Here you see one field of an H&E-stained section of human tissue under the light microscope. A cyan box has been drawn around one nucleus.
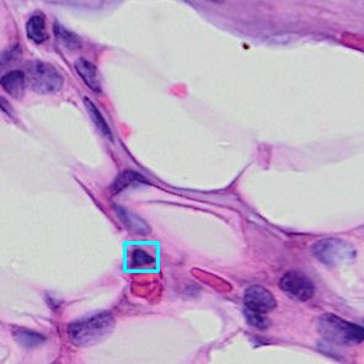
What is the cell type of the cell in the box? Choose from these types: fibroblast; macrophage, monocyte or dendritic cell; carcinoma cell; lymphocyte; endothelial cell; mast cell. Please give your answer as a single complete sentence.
Students should answer that the cell in the box is an endothelial cell.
